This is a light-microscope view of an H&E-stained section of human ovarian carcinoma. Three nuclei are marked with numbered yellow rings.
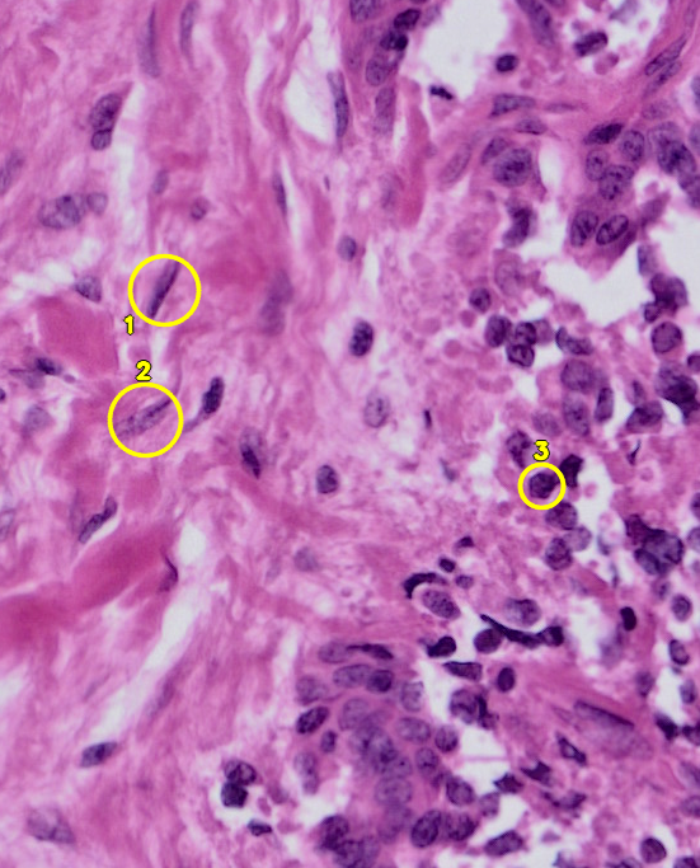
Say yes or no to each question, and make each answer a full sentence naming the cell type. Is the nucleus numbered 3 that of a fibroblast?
No, the marker 3 sits on a carcinoma cell, not on a fibroblast.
